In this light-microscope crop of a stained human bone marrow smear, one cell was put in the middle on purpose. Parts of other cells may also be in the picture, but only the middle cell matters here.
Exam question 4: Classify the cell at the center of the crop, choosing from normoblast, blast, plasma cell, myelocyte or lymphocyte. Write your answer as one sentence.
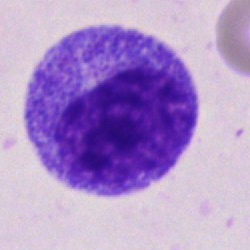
In this crop, the cell at the very middle is a myelocyte.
